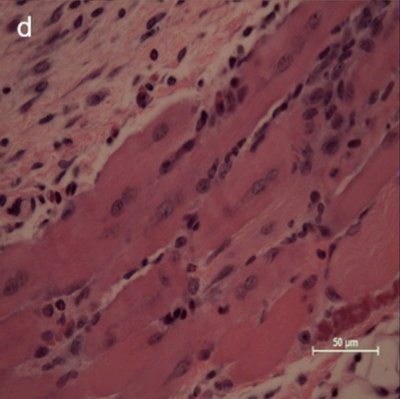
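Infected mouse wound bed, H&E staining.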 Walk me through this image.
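Broad, strongly eosinophilic pink fibres run diagonally across the field in parallel bands, with several oval, pale-centred nuclei lying along them. Between and above the fibres lies paler, loosely arranged connective tissue with wavy pink strands and many small, dark purple, oval to round nuclei of interstitial cells crowded in the upper left corner and along the gaps between fibres. The fibres are far wider than the surrounding cells and show homogeneous pink cytoplasm.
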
